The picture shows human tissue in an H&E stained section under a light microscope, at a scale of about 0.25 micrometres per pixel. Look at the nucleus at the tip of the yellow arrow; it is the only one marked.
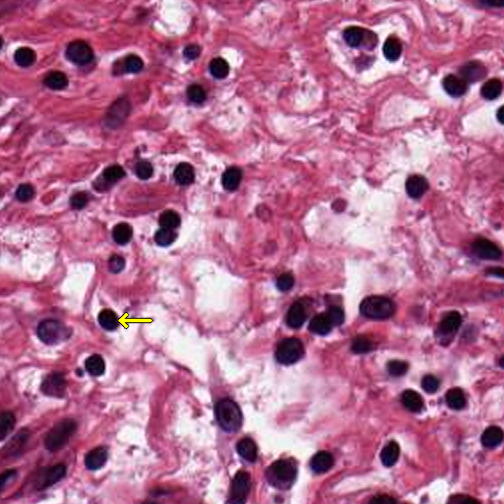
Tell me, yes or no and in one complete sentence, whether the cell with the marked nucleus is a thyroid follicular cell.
No, rather than a thyroid follicular cell, it is a supporting cell that contains the marked nucleus.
